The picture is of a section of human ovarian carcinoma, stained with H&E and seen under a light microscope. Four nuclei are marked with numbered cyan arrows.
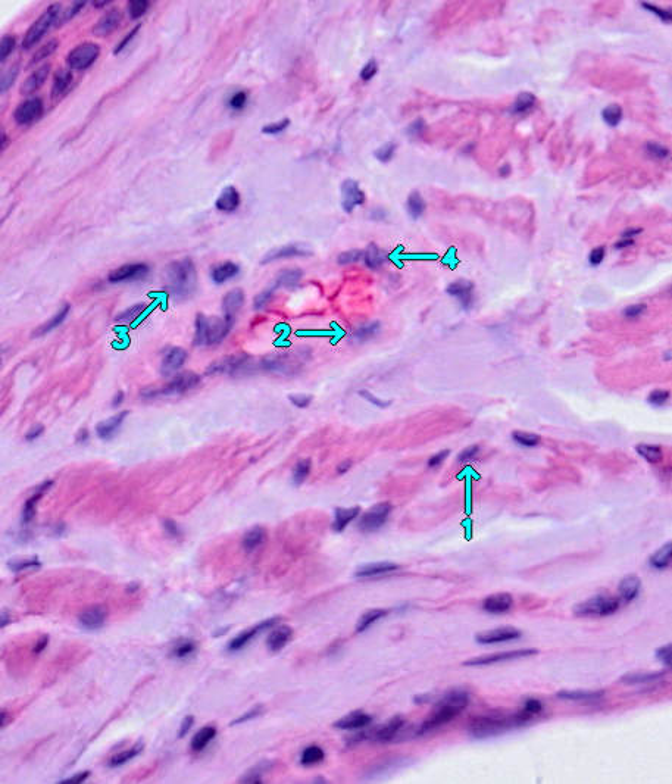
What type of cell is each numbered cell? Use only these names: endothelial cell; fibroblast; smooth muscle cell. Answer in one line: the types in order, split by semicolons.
smooth muscle cell; endothelial cell; fibroblast; endothelial cell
